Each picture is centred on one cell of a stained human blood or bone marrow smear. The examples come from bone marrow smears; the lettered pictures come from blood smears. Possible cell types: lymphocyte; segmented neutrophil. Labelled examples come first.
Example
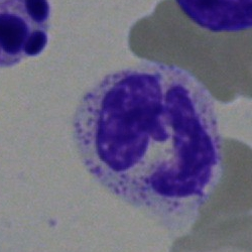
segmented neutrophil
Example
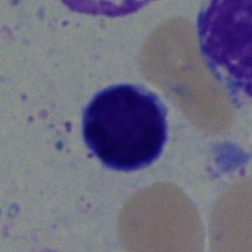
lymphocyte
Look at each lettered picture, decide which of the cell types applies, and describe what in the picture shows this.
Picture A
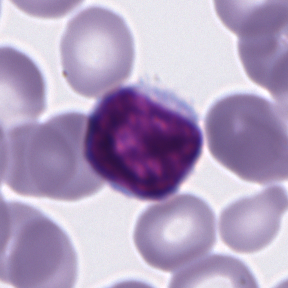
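lymphocyte. The cytoplasm is a very thin pale blue rim.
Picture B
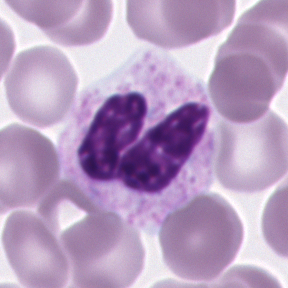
segmented neutrophil. The cytoplasm is abundant and pale lilac-pink.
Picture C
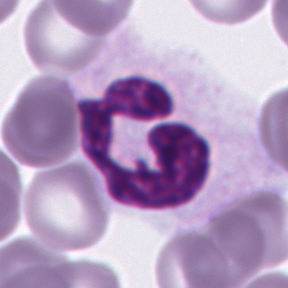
segmented neutrophil. The cytoplasm is plentiful and pale pink.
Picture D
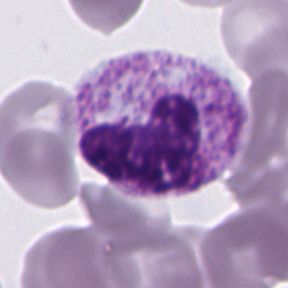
segmented neutrophil. The cytoplasm holds many purple granules.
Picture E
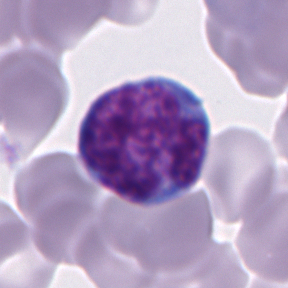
lymphocyte. The cytoplasm is only a thin rim around the nucleus.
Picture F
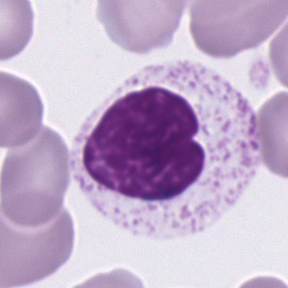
segmented neutrophil. The cytoplasm is abundant and very pale.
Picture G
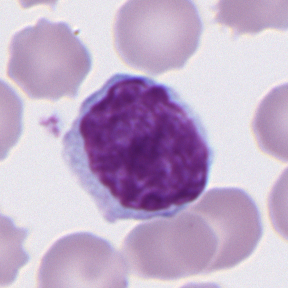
lymphocyte. The nucleus is a single unlobed mass.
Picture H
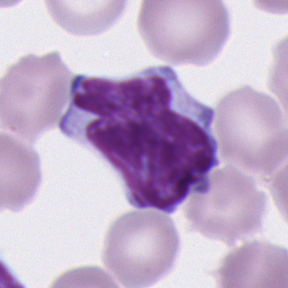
lymphocyte. The nucleus fills most of the cell.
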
